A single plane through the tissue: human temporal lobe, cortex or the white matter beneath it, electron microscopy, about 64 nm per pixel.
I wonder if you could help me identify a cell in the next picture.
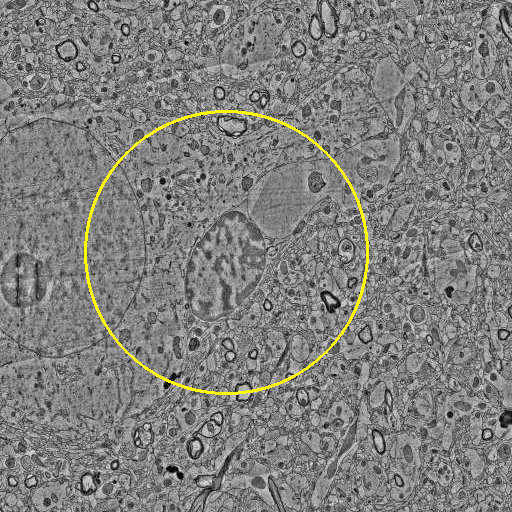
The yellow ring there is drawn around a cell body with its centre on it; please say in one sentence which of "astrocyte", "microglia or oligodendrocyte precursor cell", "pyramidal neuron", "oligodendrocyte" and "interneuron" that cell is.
The yellow ring is centred on a microglial cell or oligodendrocyte precursor cell.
